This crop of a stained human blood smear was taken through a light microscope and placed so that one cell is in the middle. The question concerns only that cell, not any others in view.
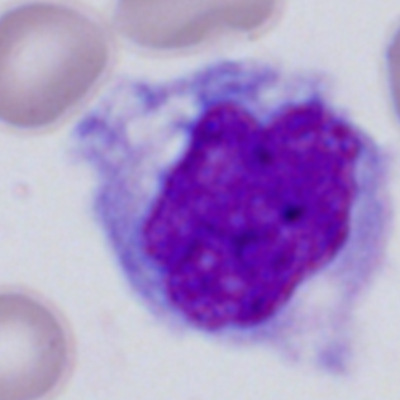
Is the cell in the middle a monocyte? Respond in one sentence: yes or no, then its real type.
Yes, the cell shown centrally is a monocyte.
